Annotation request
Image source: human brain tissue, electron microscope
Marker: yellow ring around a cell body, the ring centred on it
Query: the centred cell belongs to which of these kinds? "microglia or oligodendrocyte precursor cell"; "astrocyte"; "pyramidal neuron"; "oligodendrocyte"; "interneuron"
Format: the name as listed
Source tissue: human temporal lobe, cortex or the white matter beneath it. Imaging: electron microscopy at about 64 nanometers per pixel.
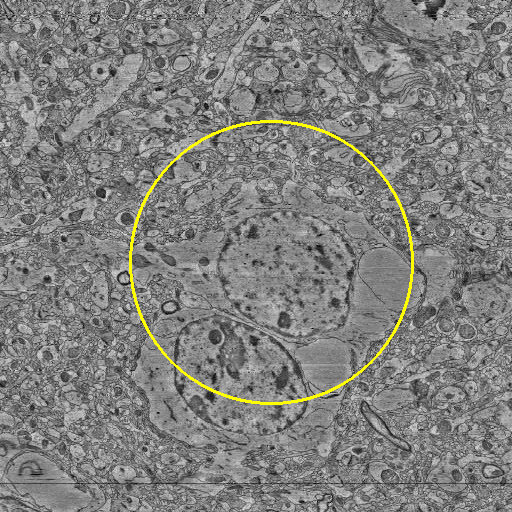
astrocyte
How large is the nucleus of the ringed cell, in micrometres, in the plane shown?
Approximately 9 x 8 micrometres in this plane.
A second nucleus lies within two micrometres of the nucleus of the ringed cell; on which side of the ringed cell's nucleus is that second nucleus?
That nucleus lies to the lower left of it.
